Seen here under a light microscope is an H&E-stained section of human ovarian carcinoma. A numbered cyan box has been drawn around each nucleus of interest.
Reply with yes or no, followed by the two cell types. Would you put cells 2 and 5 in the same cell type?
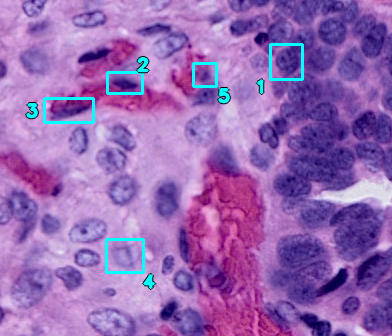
Yes, of the numbered cells, 2 and 5 are both endothelial cells.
